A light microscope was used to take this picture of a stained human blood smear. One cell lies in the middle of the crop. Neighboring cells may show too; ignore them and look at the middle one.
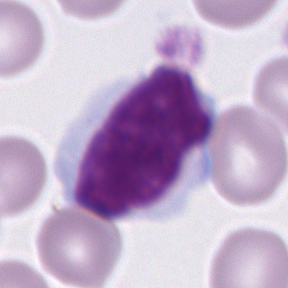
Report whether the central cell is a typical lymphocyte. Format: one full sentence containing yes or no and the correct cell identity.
Yes, the cell that is in the middle is a typical lymphocyte.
